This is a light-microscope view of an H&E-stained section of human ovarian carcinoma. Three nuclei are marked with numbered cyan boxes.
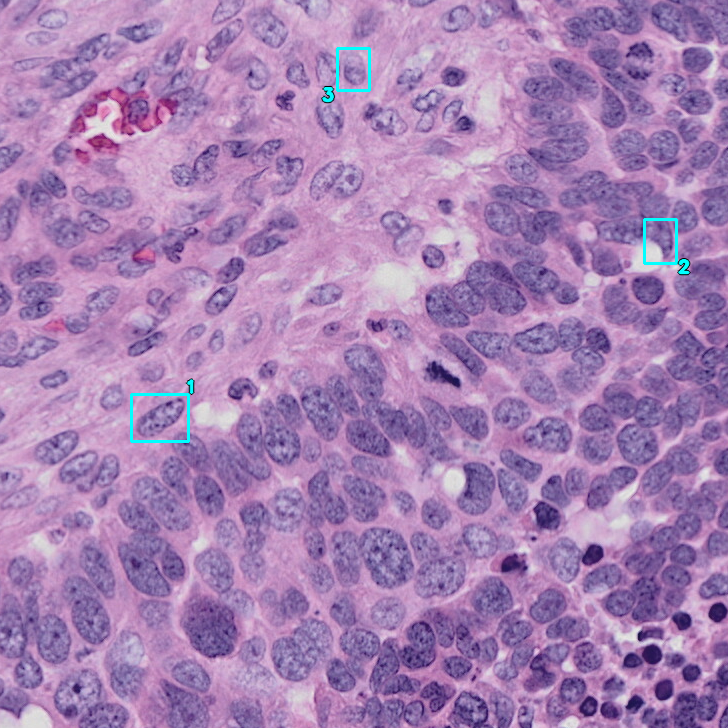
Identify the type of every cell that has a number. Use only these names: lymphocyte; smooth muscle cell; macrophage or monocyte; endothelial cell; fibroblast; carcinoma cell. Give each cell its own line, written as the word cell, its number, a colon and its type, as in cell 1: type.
cell 1: fibroblast
cell 2: carcinoma cell
cell 3: fibroblast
